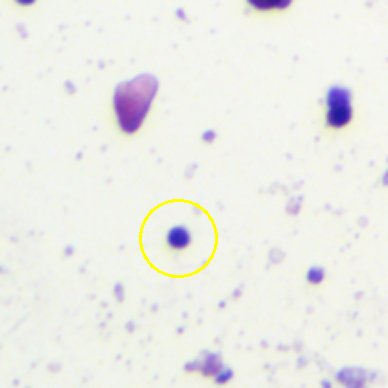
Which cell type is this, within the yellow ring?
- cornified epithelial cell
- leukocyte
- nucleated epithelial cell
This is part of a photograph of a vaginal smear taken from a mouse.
Within the ring is a leukocyte.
